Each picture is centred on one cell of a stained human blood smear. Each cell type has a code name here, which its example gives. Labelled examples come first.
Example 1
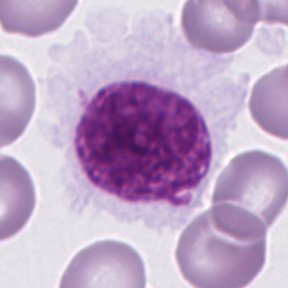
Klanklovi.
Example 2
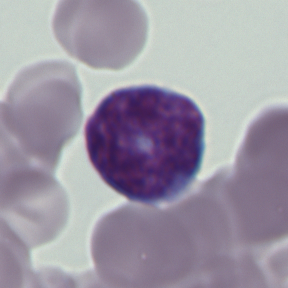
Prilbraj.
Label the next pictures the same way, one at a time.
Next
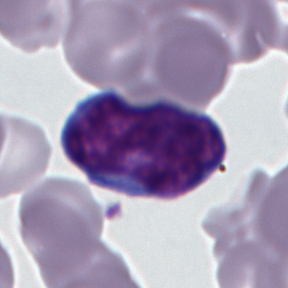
Prilbraj.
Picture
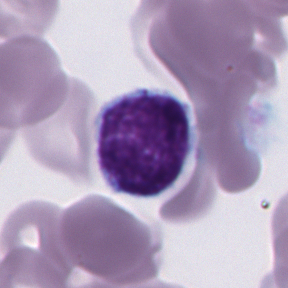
Prilbraj.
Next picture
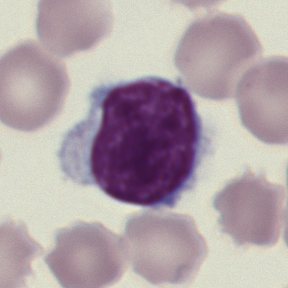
Prilbraj.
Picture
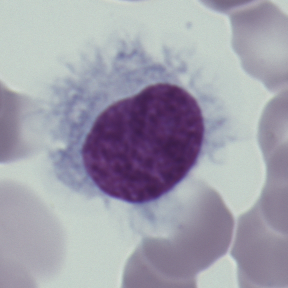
Klanklovi.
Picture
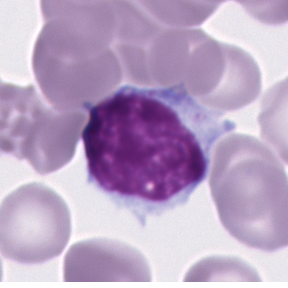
Prilbraj.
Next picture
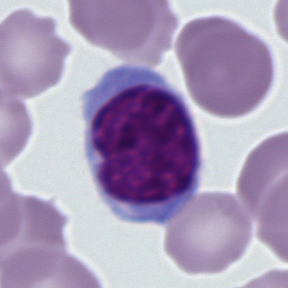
Prilbraj.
